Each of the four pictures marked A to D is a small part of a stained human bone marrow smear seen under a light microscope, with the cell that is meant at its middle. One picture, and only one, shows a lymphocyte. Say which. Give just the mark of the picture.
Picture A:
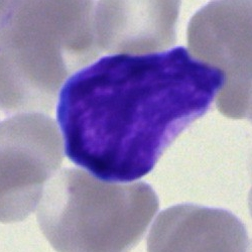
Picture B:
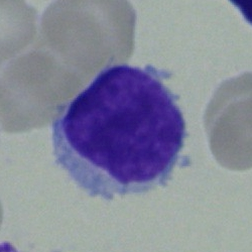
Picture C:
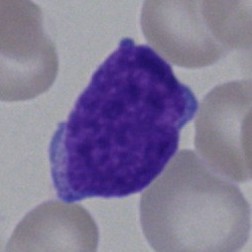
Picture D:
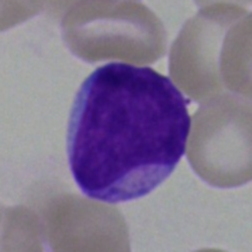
B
